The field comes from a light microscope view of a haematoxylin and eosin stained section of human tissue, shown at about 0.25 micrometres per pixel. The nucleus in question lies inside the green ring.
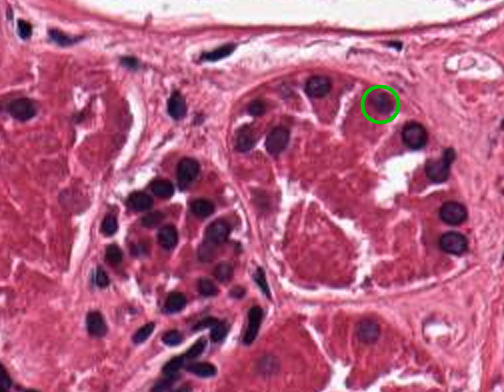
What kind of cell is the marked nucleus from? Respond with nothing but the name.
proximal tubule cell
